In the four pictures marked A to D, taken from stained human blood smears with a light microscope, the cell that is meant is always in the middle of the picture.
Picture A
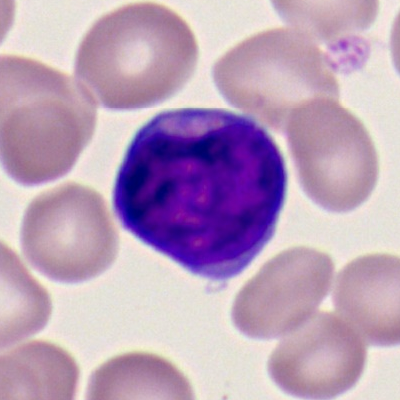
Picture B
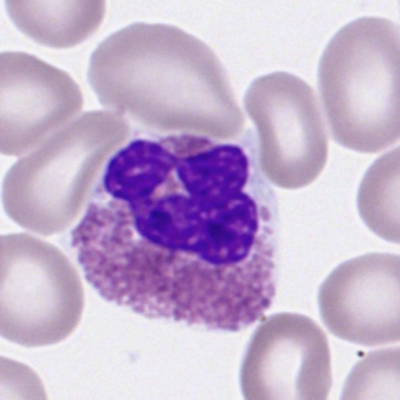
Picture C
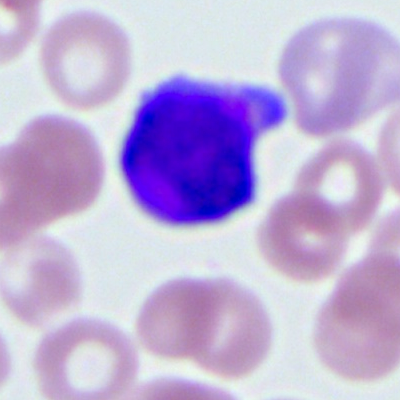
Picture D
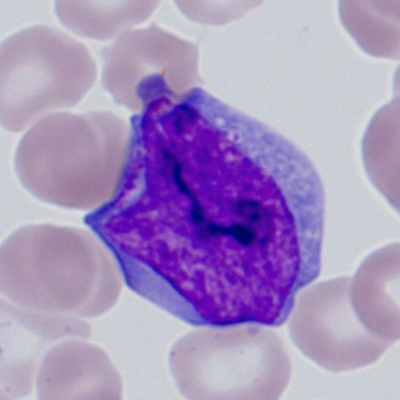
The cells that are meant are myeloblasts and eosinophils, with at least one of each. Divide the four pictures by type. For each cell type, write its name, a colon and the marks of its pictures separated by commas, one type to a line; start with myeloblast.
myeloblast: A, C, D
eosinophil: B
